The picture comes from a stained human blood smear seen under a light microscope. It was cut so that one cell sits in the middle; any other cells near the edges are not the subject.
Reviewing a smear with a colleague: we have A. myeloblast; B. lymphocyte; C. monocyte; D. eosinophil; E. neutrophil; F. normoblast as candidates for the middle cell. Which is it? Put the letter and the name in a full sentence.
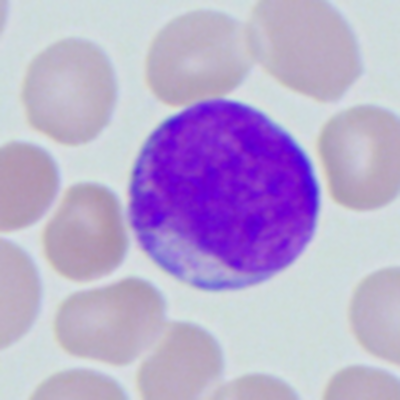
Here the central cell is a myeloblast, and option A is correct.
